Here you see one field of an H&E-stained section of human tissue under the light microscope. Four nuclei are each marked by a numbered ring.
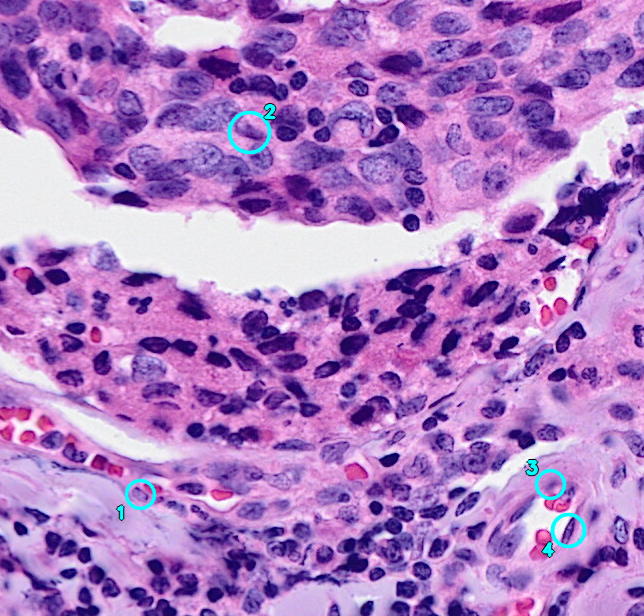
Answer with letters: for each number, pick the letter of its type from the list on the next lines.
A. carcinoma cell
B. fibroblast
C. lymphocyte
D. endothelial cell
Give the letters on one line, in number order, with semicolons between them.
D; A; D; D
